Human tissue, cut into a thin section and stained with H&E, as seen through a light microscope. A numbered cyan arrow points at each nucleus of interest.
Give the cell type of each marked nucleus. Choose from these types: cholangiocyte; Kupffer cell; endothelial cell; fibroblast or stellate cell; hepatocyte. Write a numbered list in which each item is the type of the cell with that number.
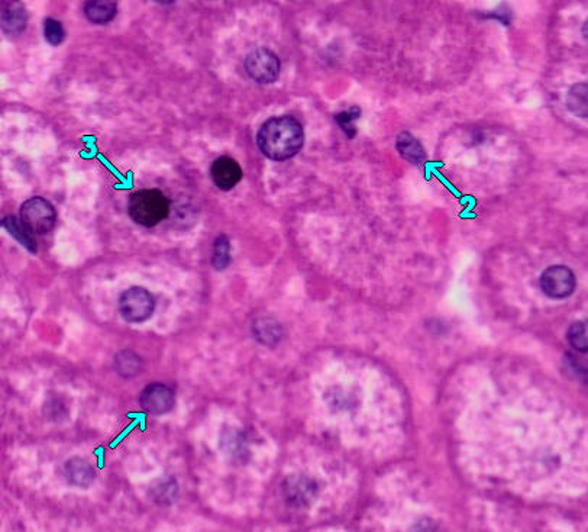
1. hepatocyte
2. Kupffer cell
3. hepatocyte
